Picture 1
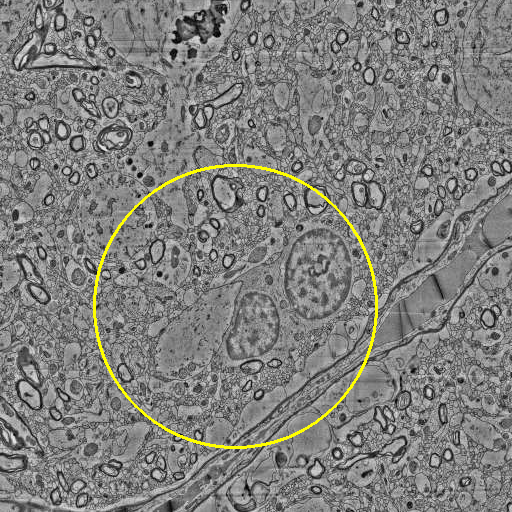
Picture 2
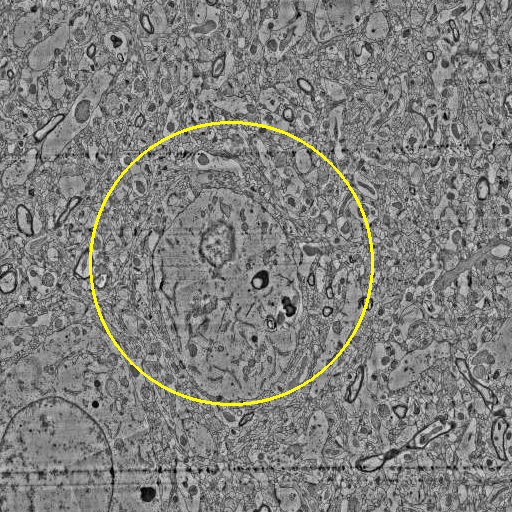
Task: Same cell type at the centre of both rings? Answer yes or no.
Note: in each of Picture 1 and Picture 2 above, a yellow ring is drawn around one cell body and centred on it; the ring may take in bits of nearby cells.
no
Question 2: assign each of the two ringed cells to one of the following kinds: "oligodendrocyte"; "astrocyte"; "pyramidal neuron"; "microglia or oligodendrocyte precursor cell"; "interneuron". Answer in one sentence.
The two cells are an oligodendrocyte in the first picture and a pyramidal neuron in the second.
